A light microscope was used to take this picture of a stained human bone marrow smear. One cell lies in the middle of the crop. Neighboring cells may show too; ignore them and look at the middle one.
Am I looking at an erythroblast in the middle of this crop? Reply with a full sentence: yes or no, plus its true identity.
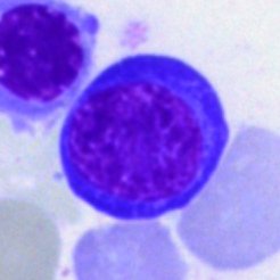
Yes, the cell occupying the center is an erythroblast.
